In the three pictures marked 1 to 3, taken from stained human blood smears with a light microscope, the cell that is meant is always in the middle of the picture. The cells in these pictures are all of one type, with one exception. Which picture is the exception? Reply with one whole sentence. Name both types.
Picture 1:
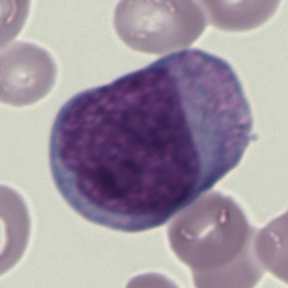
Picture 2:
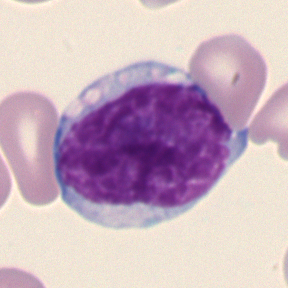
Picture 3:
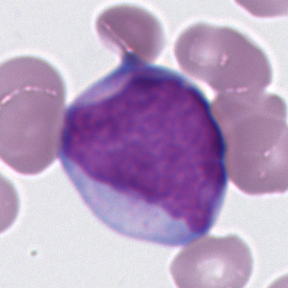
Picture 2 differs, because its cell is a myeloblast and the rest are atypical promyelocytes.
